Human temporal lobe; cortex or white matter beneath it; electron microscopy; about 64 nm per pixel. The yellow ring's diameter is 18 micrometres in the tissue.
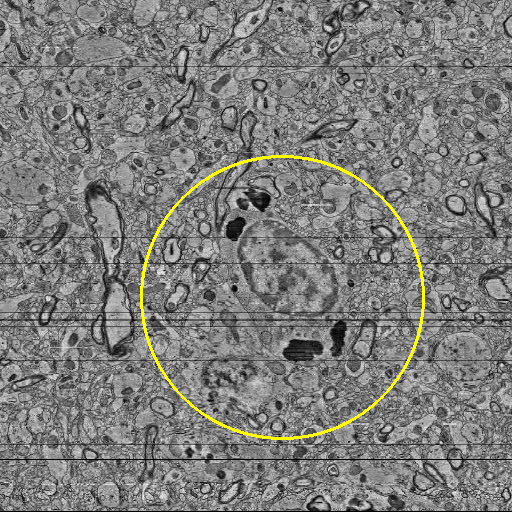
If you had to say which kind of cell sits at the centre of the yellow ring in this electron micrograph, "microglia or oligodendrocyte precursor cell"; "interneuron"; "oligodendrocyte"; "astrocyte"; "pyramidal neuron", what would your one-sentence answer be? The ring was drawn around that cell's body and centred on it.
The cell sitting at the centre of the ring is an oligodendrocyte.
